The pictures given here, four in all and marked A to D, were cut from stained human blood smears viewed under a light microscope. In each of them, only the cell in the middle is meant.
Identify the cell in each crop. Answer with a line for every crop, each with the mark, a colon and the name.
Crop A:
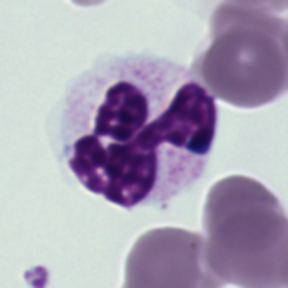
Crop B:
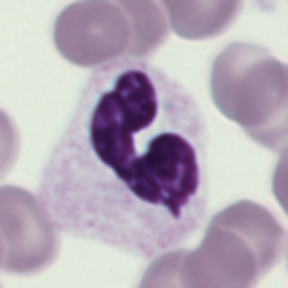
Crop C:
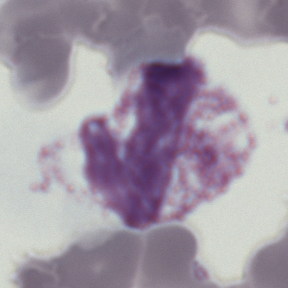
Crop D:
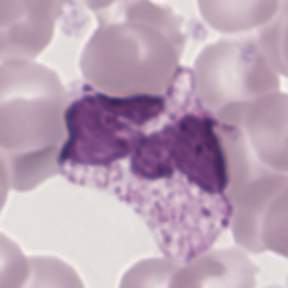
A: neutrophil
B: neutrophil
C: neutrophil
D: basophil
